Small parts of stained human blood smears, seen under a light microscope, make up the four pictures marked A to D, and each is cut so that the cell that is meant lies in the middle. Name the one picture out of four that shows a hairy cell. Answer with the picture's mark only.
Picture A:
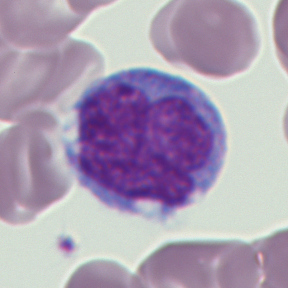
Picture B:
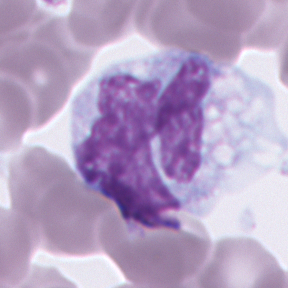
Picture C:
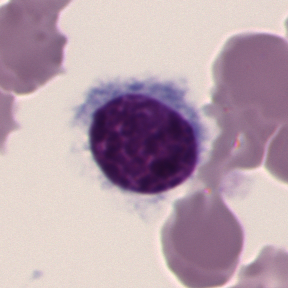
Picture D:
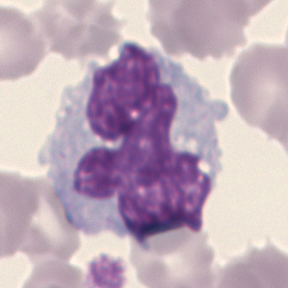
C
